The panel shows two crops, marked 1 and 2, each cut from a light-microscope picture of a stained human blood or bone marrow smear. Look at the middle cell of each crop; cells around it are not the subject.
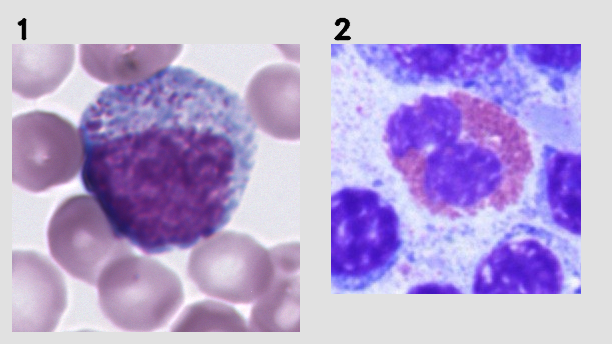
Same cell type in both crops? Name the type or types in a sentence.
No, it is in crop 1 that a promyelocyte is shown, and in crop 2 that an eosinophil is shown.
